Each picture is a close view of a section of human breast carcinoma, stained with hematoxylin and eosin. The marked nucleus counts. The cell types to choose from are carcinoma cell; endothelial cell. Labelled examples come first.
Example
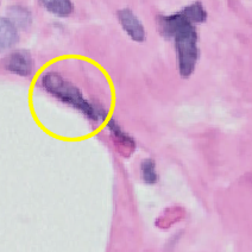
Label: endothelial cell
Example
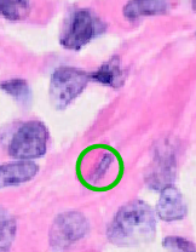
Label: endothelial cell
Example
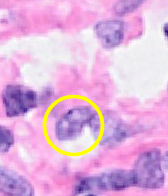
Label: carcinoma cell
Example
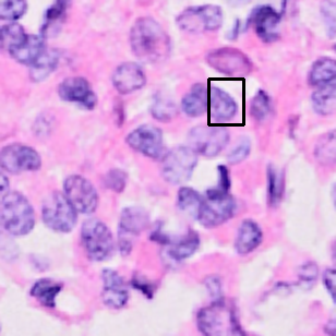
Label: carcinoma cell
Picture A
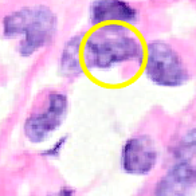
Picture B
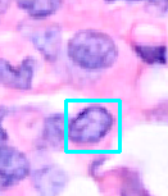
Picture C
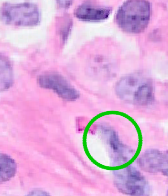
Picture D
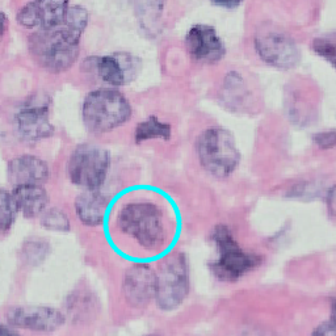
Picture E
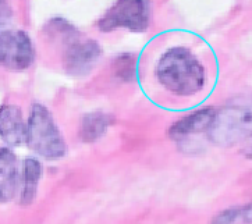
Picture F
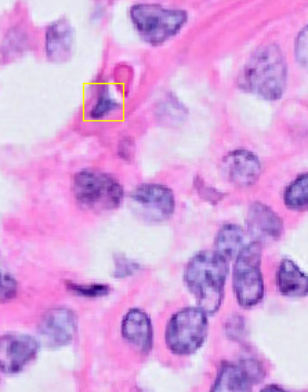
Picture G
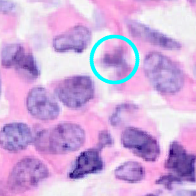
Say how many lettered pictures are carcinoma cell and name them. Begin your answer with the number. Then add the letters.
5: A, B, D, E, G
